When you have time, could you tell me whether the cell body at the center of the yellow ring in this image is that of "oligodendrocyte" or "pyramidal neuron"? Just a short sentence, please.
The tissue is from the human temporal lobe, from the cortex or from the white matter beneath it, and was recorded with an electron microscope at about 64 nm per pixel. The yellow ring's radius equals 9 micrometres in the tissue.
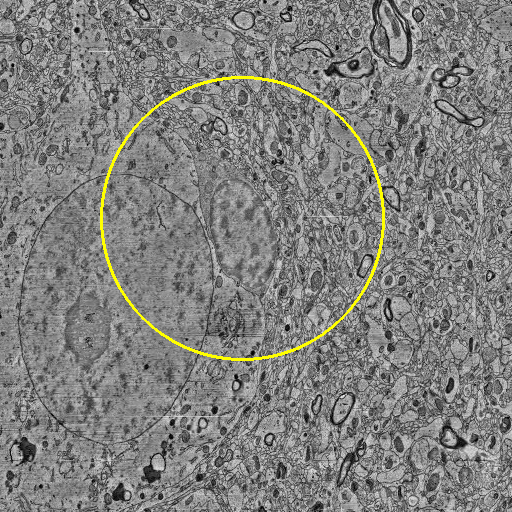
The cell body at the center of the ring is that of an oligodendrocyte.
